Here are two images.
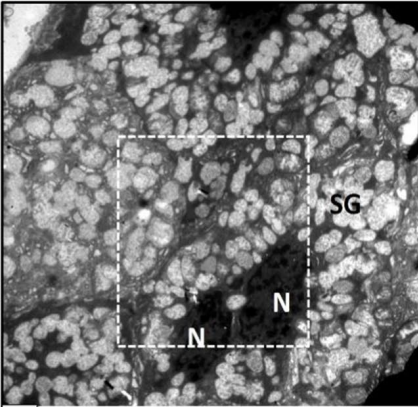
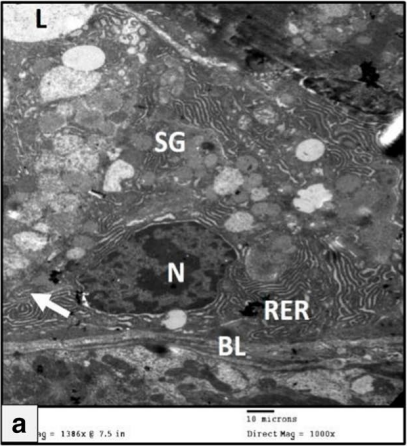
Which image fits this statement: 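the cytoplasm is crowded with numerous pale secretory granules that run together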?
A: The first image.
